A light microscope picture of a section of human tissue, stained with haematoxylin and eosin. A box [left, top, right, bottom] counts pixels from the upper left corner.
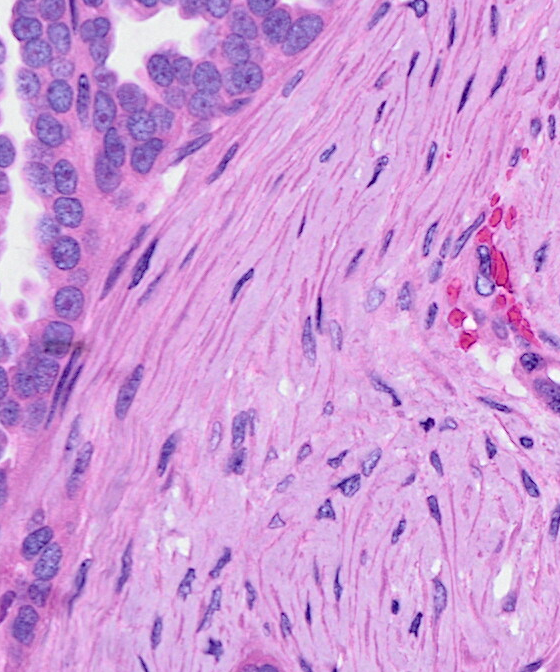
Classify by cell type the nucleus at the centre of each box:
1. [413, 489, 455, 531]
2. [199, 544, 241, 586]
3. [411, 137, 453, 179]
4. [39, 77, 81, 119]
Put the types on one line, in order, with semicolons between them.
fibroblast; fibroblast; fibroblast; carcinoma cell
